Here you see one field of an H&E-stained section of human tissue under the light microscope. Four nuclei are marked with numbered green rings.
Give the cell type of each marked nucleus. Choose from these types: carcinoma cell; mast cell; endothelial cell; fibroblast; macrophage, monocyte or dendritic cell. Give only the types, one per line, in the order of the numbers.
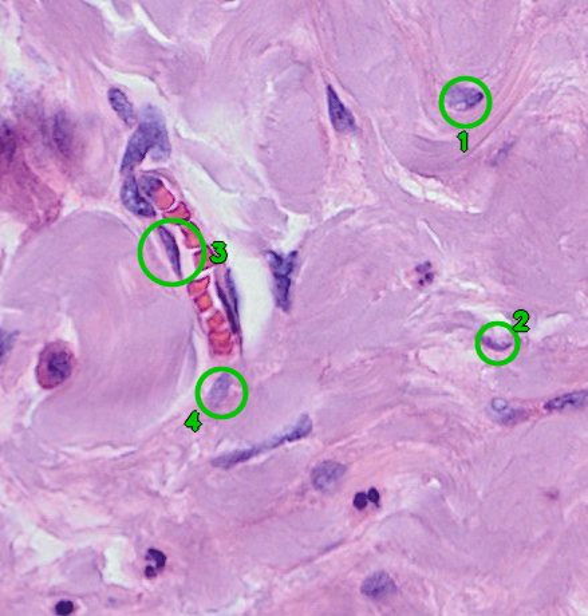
fibroblast
fibroblast
endothelial cell
fibroblast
